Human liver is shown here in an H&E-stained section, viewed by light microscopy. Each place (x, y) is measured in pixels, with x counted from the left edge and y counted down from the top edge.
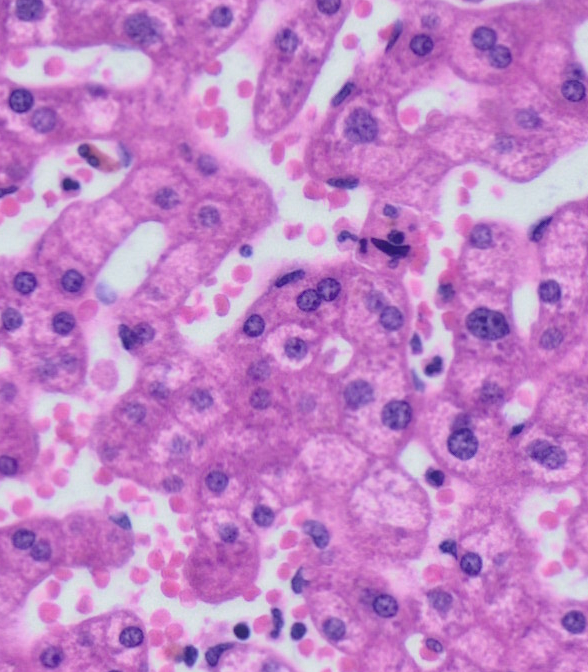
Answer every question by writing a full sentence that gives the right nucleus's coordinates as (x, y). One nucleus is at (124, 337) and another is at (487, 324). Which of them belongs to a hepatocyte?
Heads up, the nucleus at (487, 324) is the one that belongs to a hepatocyte.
